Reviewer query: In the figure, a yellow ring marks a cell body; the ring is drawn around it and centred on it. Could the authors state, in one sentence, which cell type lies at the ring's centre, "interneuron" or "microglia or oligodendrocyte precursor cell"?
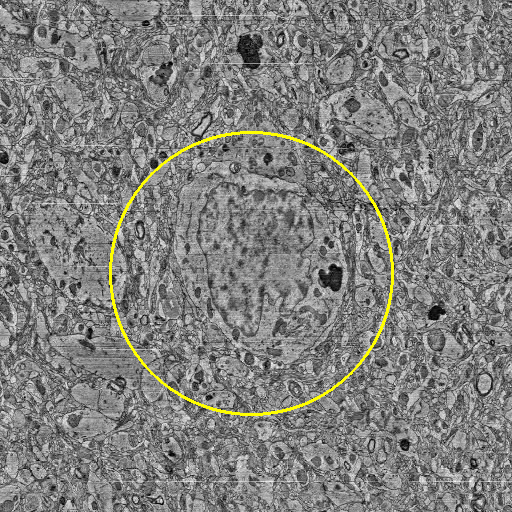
The ring is centred on an interneuron.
